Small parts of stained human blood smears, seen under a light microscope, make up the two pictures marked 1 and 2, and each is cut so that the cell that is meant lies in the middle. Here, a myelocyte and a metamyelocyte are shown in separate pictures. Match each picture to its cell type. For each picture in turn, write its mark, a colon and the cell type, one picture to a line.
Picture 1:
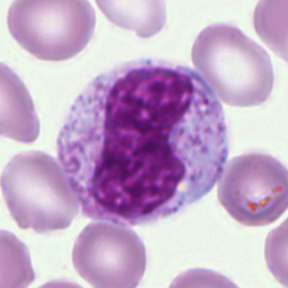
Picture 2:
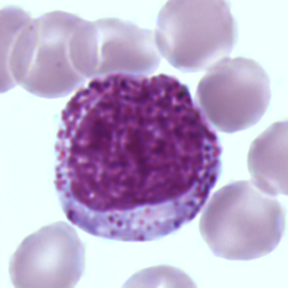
1: metamyelocyte
2: myelocyte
